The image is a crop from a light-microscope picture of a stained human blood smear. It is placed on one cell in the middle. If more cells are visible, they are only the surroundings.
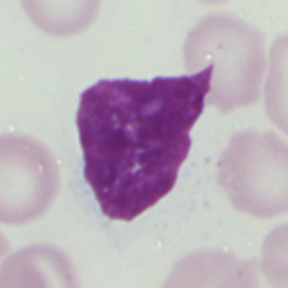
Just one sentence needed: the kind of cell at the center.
This crop has a smudge cell at its centre.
